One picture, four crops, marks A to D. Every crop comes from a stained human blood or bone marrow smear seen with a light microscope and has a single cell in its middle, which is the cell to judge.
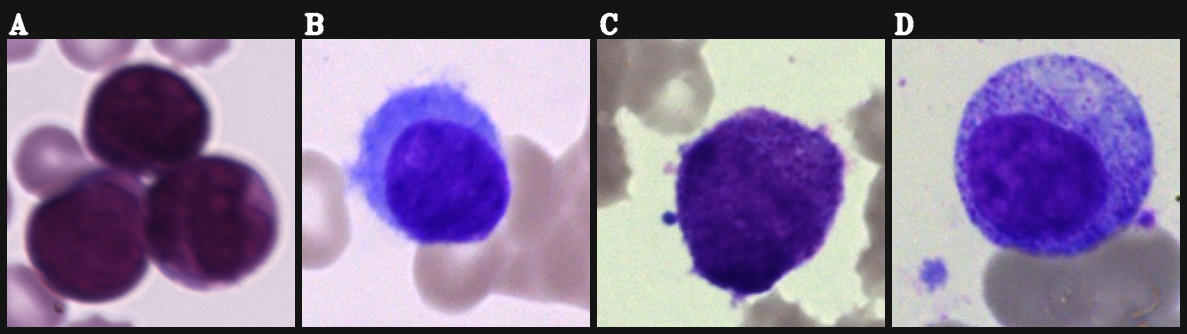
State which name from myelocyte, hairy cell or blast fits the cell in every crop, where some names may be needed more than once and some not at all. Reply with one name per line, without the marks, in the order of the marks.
blast
hairy cell
blast
myelocyte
